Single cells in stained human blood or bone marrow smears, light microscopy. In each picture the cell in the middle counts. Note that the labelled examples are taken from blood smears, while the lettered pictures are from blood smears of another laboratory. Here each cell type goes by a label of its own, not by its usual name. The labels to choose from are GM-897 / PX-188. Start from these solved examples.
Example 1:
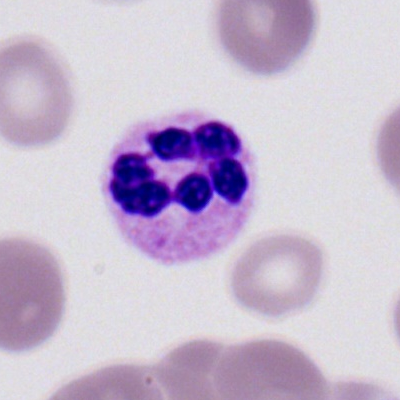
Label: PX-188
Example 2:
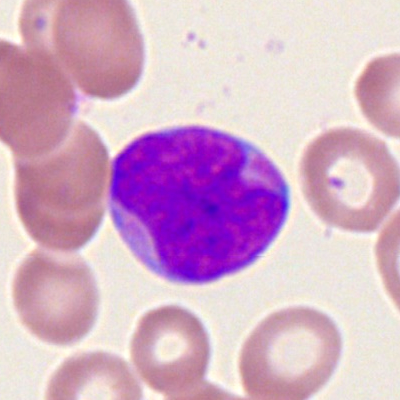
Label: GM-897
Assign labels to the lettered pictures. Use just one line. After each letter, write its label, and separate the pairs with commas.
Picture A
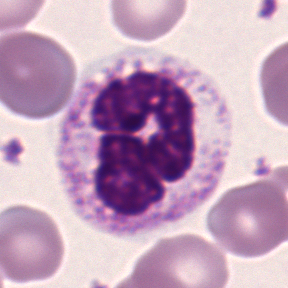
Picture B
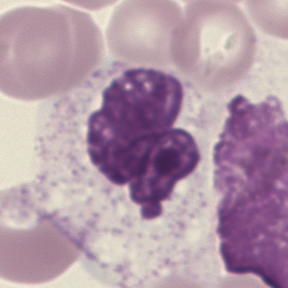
A PX-188, B PX-188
